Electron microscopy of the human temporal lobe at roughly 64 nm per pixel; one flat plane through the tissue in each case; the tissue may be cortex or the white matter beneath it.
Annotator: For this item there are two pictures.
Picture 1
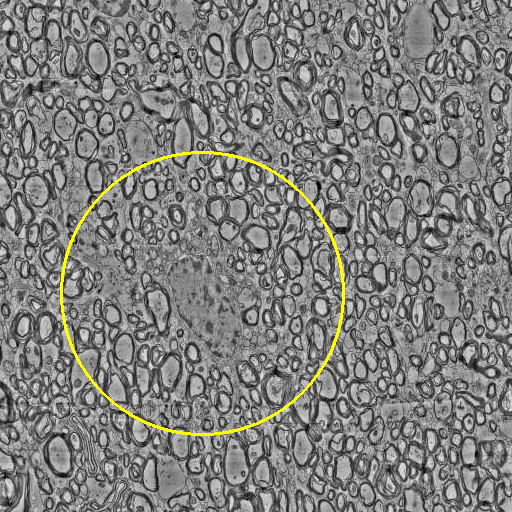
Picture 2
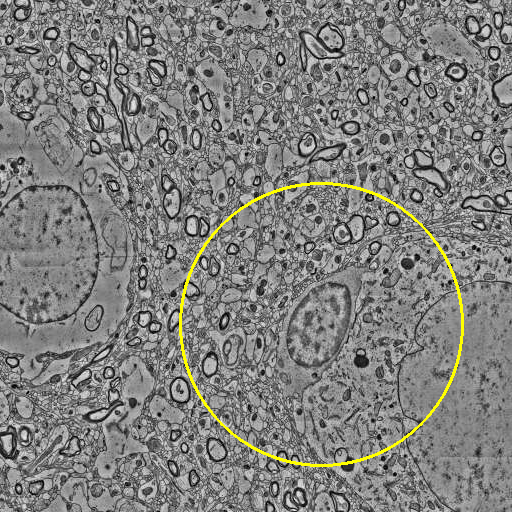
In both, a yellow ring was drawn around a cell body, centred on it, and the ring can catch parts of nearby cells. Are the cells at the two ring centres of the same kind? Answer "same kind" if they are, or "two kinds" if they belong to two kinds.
two kinds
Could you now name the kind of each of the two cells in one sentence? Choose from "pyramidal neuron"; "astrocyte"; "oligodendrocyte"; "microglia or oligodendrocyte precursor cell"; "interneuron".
The first ring encloses an astrocyte; the second ring encloses an oligodendrocyte.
